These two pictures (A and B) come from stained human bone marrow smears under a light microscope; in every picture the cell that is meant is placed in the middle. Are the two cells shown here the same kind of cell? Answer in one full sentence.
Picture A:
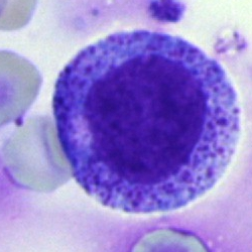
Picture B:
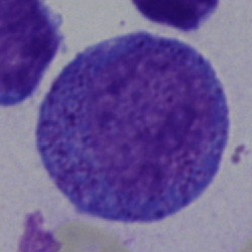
Yes, both cells are promyelocytes.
